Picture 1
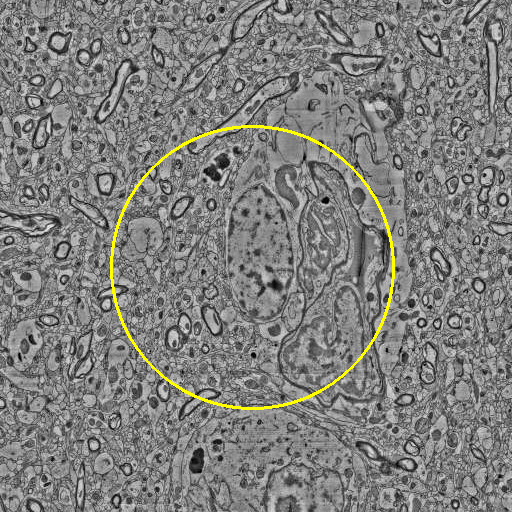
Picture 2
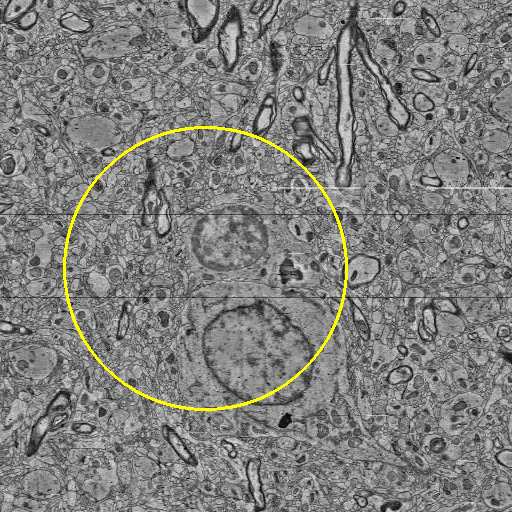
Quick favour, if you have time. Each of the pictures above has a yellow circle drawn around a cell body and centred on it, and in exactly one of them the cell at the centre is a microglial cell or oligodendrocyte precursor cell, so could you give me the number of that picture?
1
